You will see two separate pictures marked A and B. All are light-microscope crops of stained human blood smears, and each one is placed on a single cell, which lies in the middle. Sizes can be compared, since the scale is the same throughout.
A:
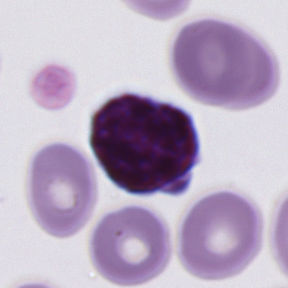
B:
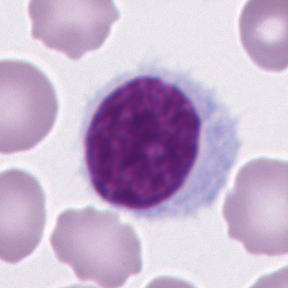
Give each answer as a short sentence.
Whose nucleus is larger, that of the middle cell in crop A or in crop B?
The nucleus in crop B is larger, with about 1.5 times the area of the one in crop A.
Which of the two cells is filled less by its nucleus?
The nucleus fills less of the cell in crop B than in crop A.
